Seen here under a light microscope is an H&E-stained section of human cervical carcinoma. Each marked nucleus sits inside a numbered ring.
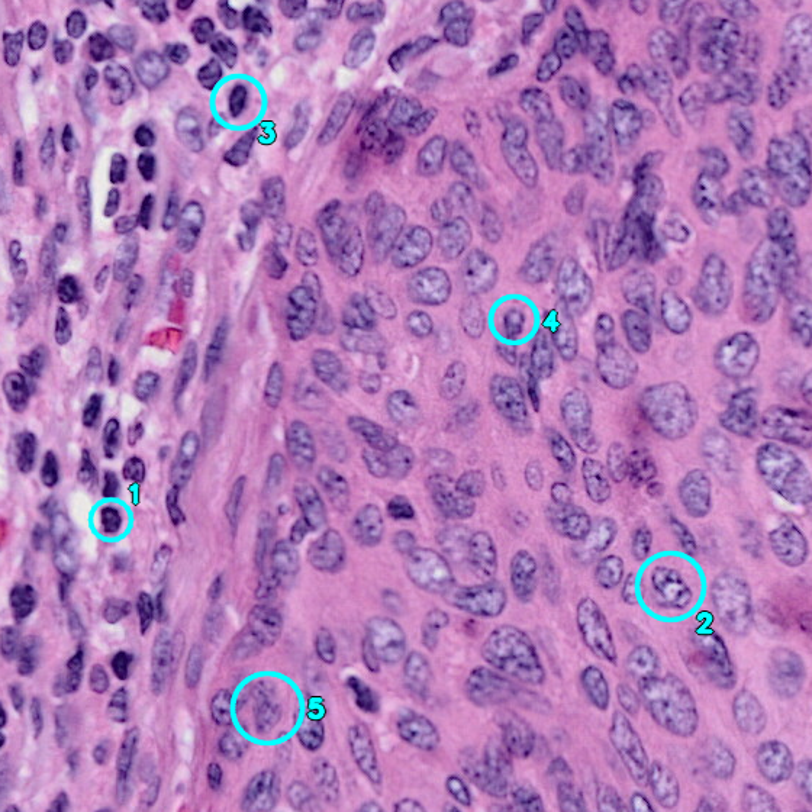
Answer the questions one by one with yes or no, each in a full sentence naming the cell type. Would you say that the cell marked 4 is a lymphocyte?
No, cell 4 is not a lymphocyte. It is a squamous carcinoma cell.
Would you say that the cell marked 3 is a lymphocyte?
Yes, that is so; number 3 marks a lymphocyte.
